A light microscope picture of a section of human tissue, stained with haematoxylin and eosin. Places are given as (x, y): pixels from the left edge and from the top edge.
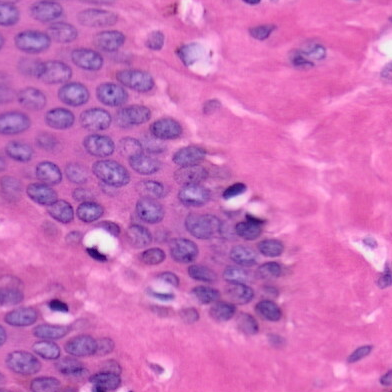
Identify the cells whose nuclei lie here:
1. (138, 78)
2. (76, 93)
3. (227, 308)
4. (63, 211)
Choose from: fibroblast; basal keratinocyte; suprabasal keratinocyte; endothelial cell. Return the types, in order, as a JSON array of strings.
["basal keratinocyte", "suprabasal keratinocyte", "basal keratinocyte", "basal keratinocyte"]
